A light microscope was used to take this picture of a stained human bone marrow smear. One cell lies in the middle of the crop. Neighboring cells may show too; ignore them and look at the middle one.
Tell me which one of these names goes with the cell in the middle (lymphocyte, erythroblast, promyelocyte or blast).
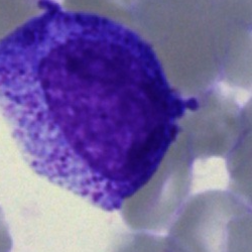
promyelocyte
